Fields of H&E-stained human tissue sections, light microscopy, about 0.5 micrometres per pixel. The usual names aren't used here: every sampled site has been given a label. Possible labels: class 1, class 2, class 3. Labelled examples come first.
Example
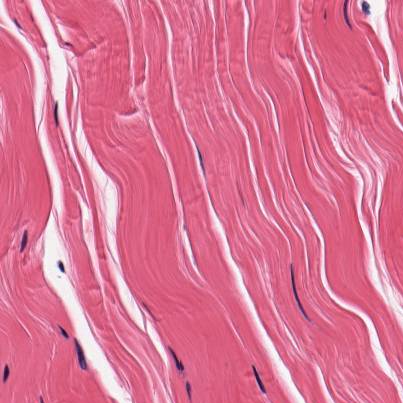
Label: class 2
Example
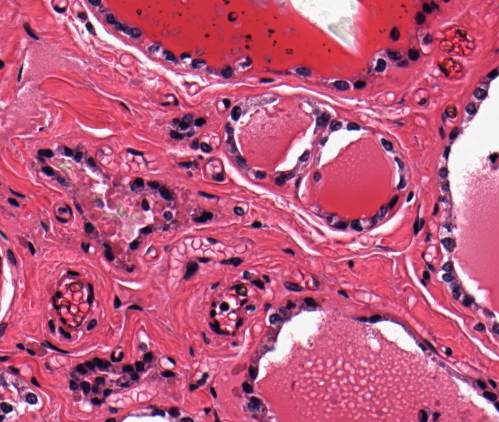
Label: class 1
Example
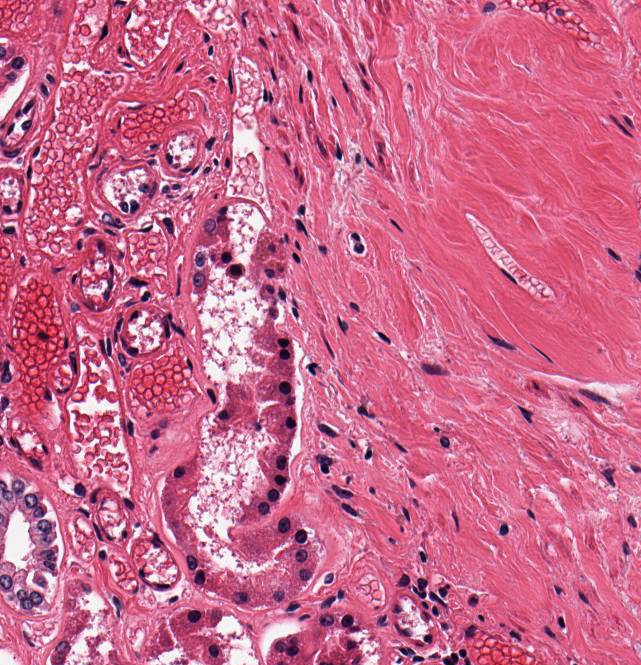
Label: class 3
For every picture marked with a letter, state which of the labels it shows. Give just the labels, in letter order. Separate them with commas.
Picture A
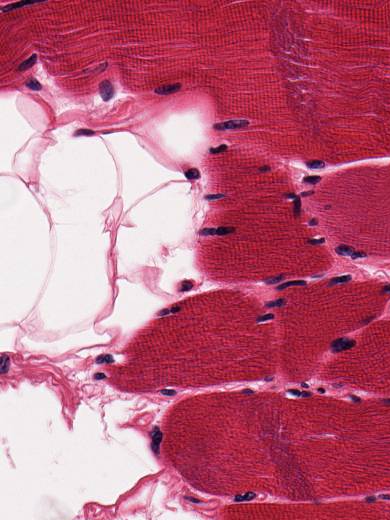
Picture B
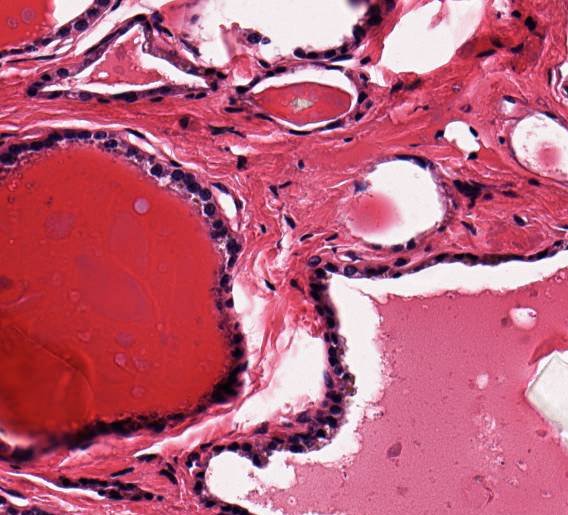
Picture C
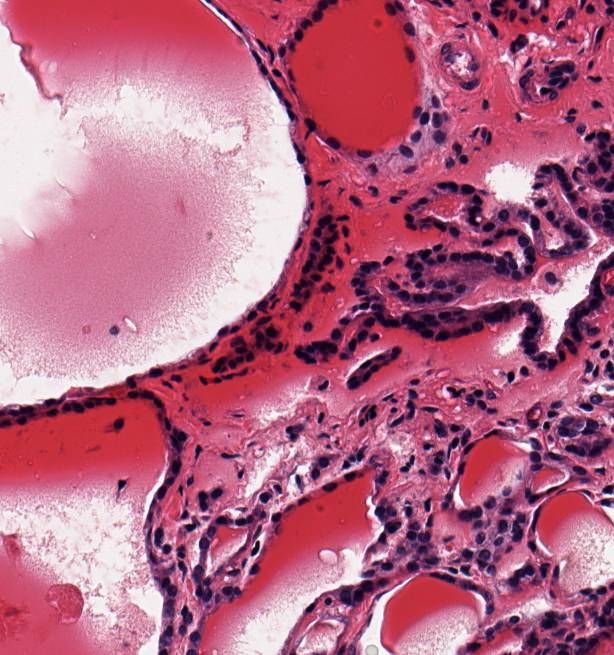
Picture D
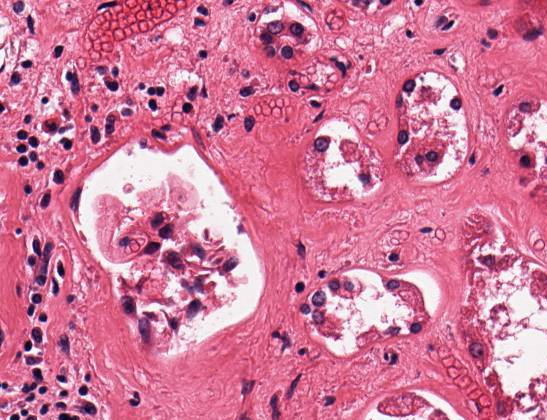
class 2, class 1, class 1, class 3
